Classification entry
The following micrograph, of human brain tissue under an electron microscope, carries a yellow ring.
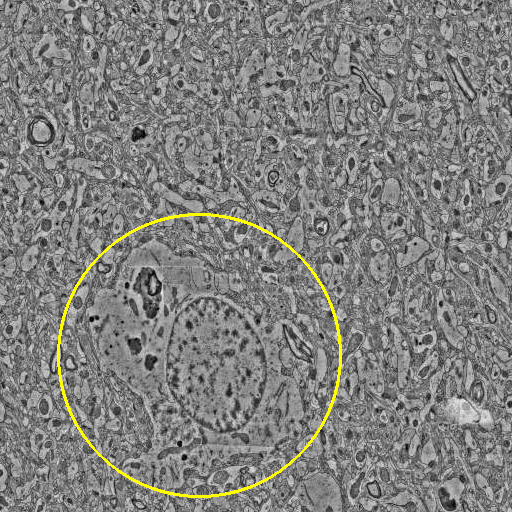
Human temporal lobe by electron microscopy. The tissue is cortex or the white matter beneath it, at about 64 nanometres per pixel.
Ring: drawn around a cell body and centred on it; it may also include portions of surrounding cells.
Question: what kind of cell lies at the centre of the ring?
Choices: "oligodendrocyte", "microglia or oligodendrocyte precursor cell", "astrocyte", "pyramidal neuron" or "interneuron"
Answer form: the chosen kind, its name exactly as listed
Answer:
astrocyte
